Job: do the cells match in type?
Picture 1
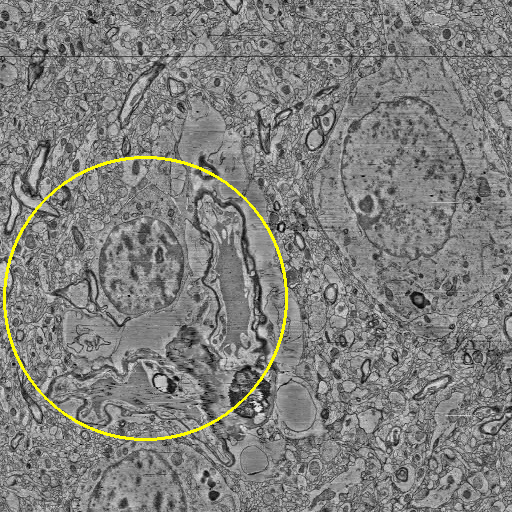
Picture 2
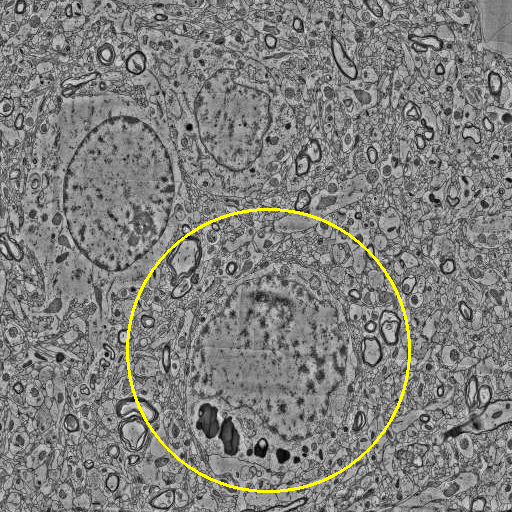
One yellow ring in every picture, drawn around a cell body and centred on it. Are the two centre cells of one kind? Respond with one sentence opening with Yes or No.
No, the ringed cells in the two pictures are of two separate kinds.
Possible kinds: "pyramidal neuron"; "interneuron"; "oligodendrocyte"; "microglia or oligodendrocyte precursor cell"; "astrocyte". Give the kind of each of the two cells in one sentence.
The cell in the second picture is an interneuron, and that in the first is an oligodendrocyte.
